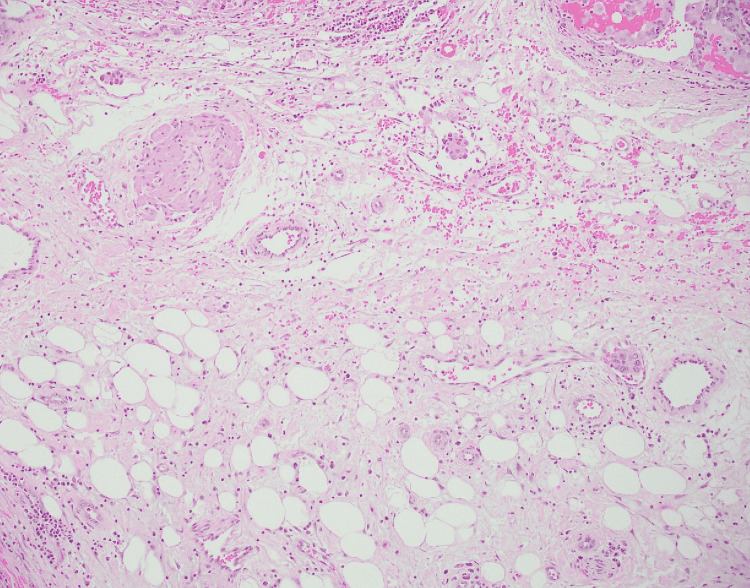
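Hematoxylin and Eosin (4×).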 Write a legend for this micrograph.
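This low-power view shows loose fibrous connective tissue and fat holding small thin-walled spaces that contain clusters of tumor cells. The lower half is taken up by many round, empty fat cells of varying size separated by pale pink stroma, while the upper half has looser, paler connective tissue with scattered red blood cells. Within several round spaces lined by a thin flat layer lie small tight nests of cells with pink cytoplasm and dark nuclei, separated from the space wall by a clear gap. Scattered small dark nuclei of stromal and inflammatory cells lie between these spaces, and denser collections of small dark cells are seen at the upper and lower left edges.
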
